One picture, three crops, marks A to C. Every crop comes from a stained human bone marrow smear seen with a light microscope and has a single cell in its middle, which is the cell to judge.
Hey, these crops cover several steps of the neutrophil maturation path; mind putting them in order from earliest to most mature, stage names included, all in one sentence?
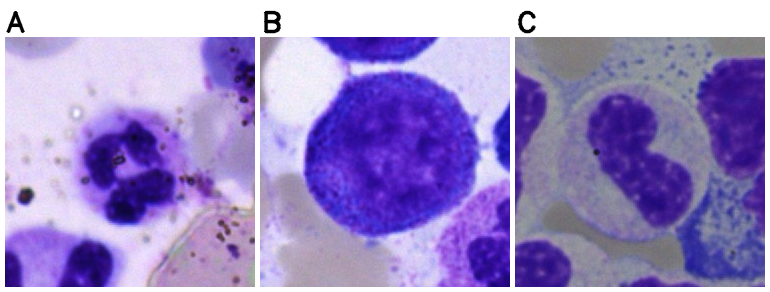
The maturity ranking, beginning with the least mature, is crop B (a promyelocyte), crop C (a band neutrophil) and crop A (a segmented neutrophil).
